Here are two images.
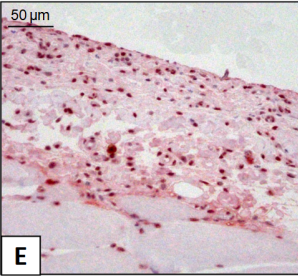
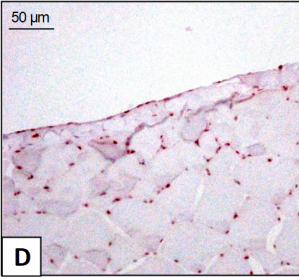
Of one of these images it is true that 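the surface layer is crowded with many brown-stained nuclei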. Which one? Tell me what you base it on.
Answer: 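First image: a thick surface layer packed with numerous brown nuclei. Second image: a thin surface layer with only scattered brown nuclei between pale muscle fibres.
Hence: the first image.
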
